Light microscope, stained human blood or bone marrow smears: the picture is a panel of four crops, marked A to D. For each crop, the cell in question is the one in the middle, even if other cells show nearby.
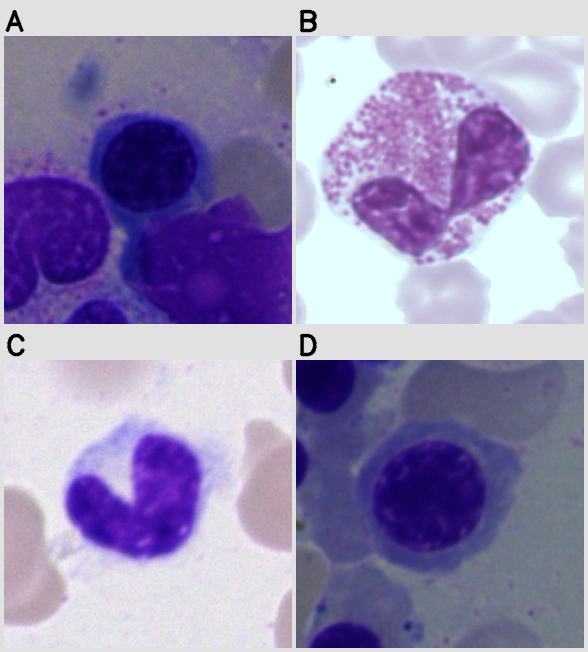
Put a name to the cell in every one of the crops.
A: erythroblast
B: eosinophil
C: band neutrophil
D: erythroblast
